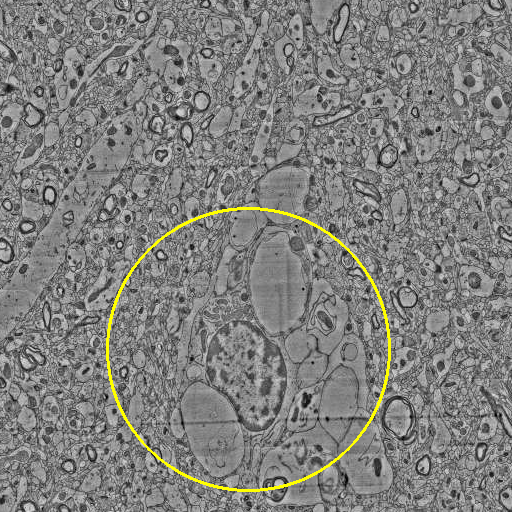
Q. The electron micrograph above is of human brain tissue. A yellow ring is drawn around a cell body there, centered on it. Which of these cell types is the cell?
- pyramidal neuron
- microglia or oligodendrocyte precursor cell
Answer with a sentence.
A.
The cell under the ring's center is a microglial cell or oligodendrocyte precursor cell.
